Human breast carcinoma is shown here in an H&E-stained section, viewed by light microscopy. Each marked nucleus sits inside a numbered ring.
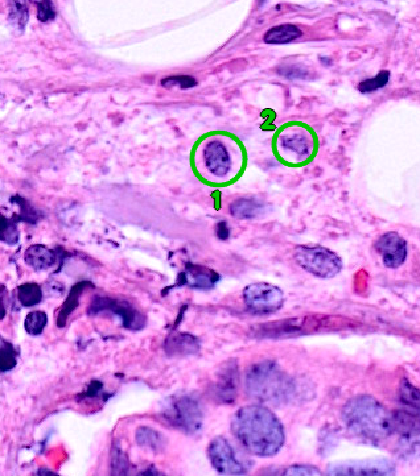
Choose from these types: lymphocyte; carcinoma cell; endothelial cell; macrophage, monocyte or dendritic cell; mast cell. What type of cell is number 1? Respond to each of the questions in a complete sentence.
That cell with number 1 is a mast cell.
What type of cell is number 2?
The cell assigned the number 2 is a macrophage, monocyte or dendritic cell.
